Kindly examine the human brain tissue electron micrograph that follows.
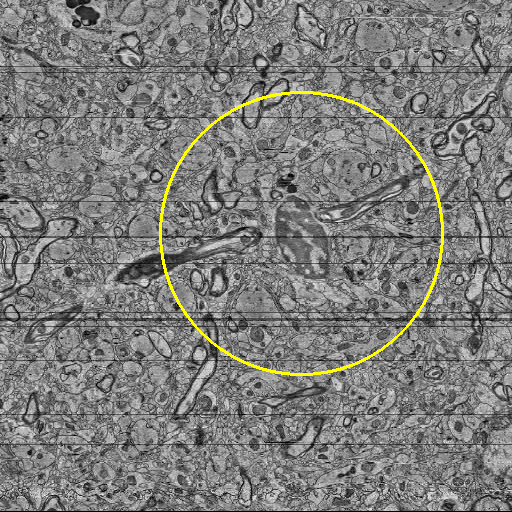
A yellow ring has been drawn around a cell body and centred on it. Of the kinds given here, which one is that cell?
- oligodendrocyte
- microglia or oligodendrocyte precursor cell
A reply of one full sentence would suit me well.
The micrograph's ringed cell, the one at the ring's centre, is a microglial cell or oligodendrocyte precursor cell.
